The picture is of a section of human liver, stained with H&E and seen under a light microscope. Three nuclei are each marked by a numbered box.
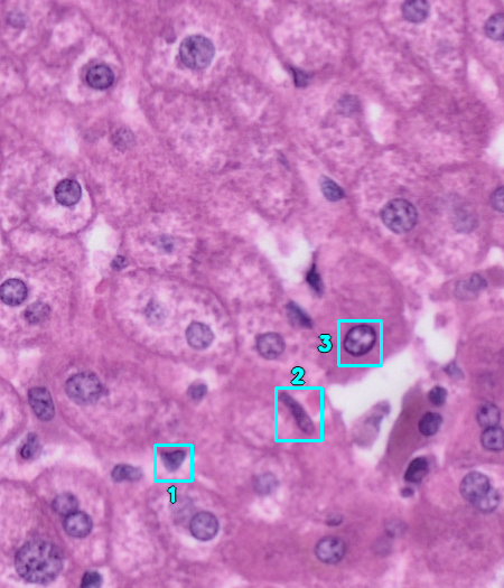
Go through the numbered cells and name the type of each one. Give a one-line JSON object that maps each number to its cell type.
{"1": "endothelial cell", "2": "Kupffer cell", "3": "hepatocyte"}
